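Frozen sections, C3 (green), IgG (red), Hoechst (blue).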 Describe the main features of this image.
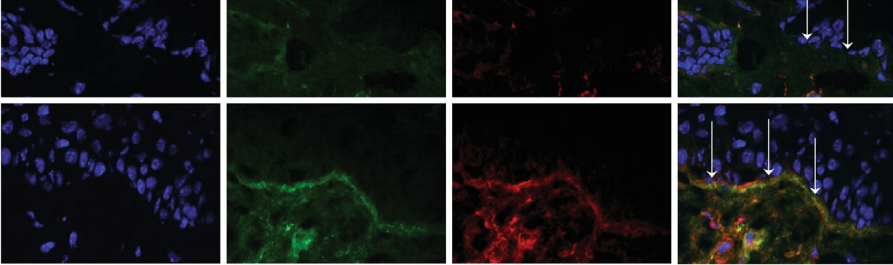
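Fluorescence images of skin with a dense cluster of blue nuclei of the epidermis above a dermis with few nuclei. In the lower row a bright green and red band, yellow where the two overlap, follows the border beneath the epidermis, while in the upper row this border shows only faint signal.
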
